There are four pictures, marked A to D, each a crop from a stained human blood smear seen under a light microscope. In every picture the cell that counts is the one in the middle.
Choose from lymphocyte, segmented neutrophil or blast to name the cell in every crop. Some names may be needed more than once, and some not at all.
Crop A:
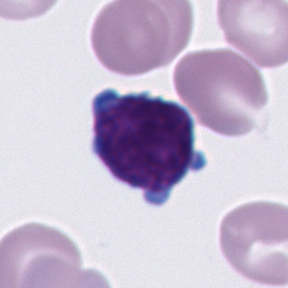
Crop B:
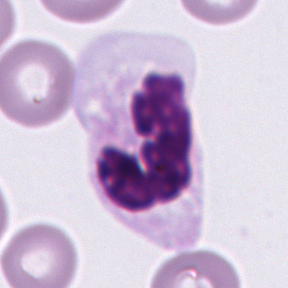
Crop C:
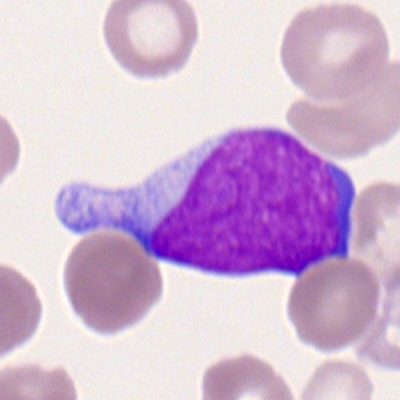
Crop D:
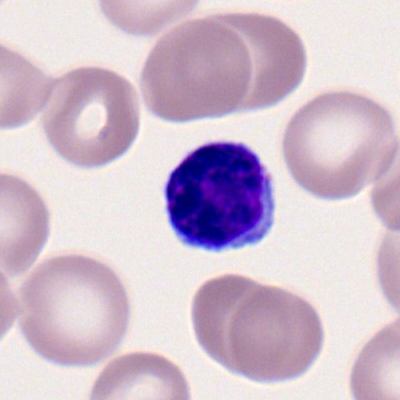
A: lymphocyte
B: segmented neutrophil
C: blast
D: lymphocyte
